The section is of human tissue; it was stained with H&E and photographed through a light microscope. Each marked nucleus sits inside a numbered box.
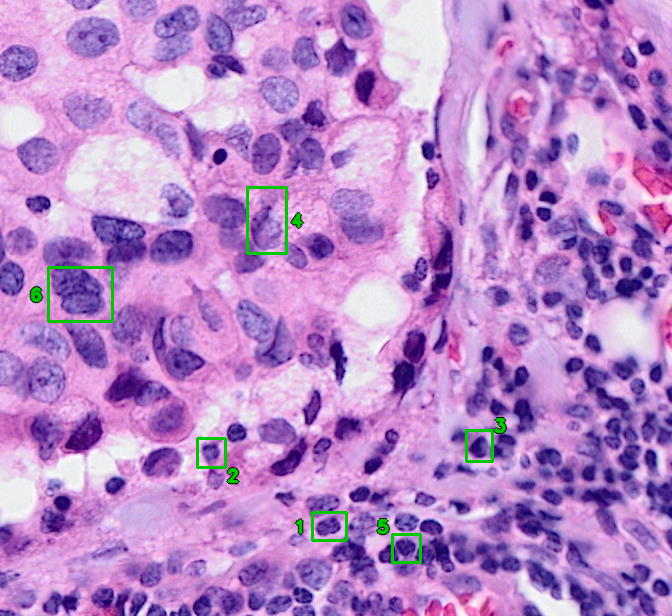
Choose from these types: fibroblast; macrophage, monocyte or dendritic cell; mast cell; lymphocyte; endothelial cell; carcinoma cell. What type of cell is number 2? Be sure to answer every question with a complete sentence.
At number 2, the marked cell is a lymphocyte.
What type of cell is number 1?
The correct answer for cell 1 is a lymphocyte.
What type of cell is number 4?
The cell tagged with 4 in this tissue section is a carcinoma cell.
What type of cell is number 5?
Recognised here as a lymphocyte is the cell numbered 5.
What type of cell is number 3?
The cell indicated by marker 3 is a lymphocyte in this section.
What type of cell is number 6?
The cell pointed out as number 6 is a carcinoma cell.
